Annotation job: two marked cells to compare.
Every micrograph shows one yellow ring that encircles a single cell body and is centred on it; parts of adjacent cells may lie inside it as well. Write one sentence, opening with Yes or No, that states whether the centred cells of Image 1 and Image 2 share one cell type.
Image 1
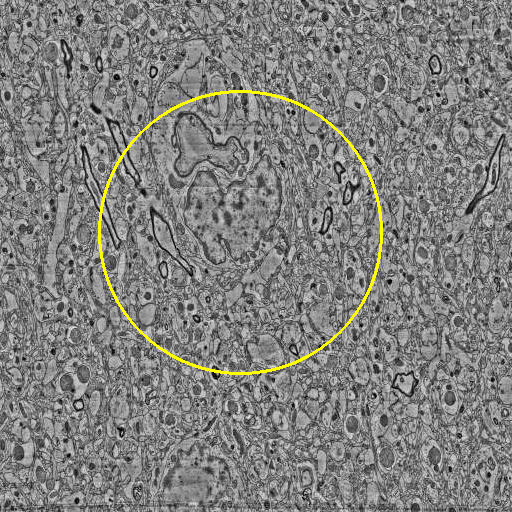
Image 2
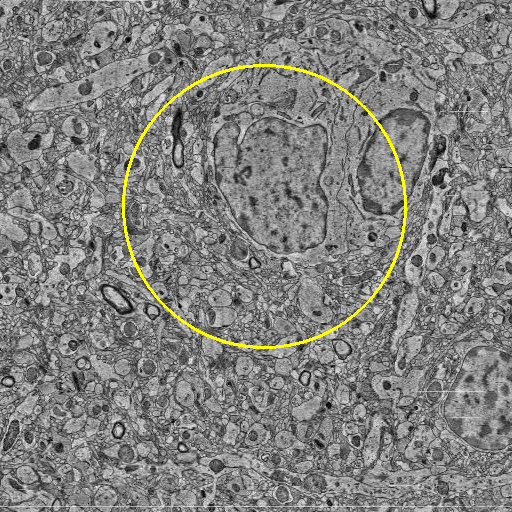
Yes, the cell centred in Image 1 shares its type with the cell centred in Image 2.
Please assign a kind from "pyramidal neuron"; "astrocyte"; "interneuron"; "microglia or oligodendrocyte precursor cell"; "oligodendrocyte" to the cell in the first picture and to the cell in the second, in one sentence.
In the first picture and in the second, the ring is centred on a microglial cell or oligodendrocyte precursor cell.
